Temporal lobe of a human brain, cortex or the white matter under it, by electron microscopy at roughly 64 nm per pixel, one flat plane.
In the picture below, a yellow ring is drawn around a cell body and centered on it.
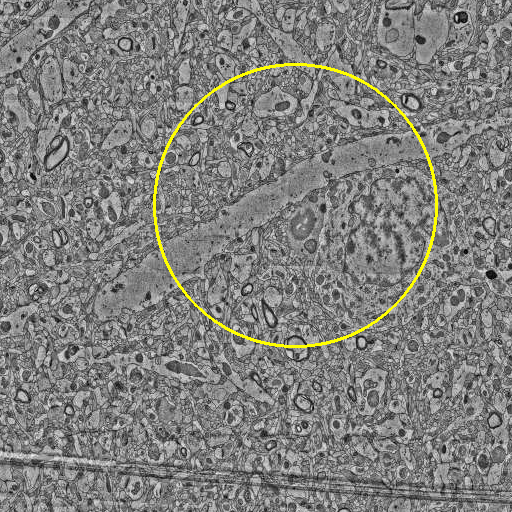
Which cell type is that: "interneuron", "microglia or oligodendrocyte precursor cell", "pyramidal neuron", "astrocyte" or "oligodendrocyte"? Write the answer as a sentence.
The cell centered in the ring is an oligodendrocyte.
